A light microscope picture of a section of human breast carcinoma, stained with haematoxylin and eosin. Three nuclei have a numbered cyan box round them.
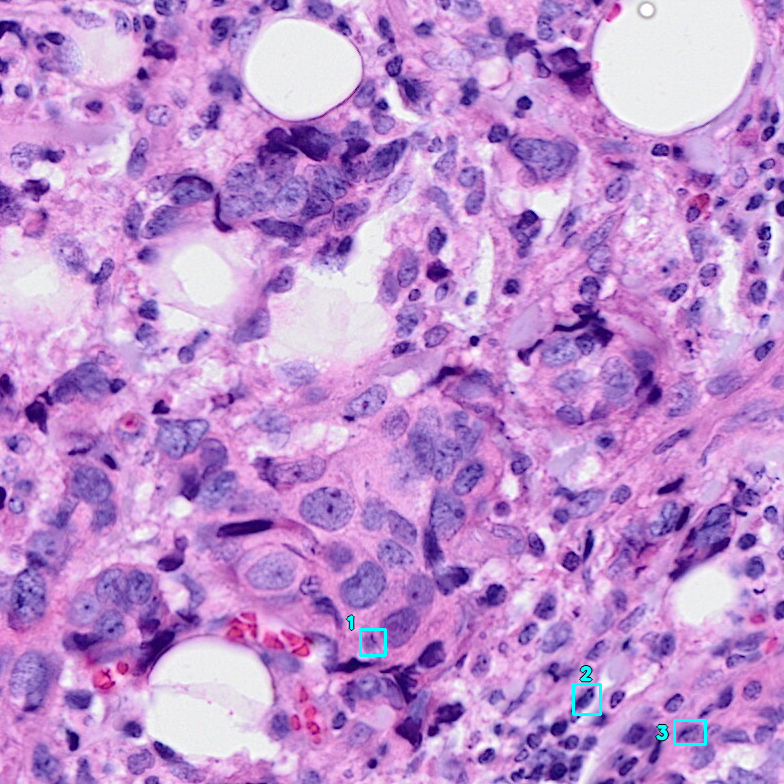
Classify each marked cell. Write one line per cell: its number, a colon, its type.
1: carcinoma cell
2: lymphocyte
3: endothelial cell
